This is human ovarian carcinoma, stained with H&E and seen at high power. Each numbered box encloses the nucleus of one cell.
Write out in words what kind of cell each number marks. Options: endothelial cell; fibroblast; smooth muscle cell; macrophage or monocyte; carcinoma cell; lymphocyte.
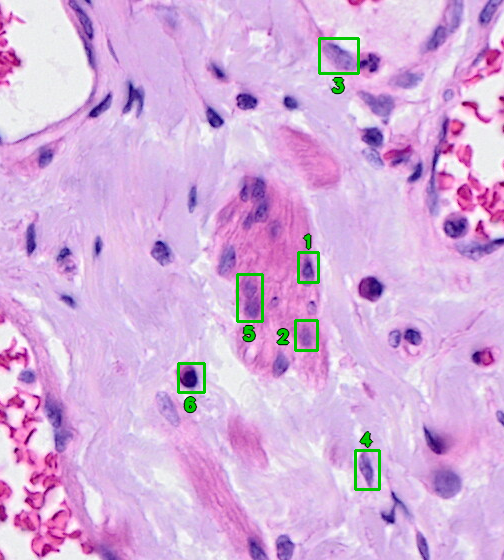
Cells 1, 2 and 5 are smooth muscle cells. Cell 3 is an endothelial cell. Cell 4 is a fibroblast. Cell 6 is a lymphocyte.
